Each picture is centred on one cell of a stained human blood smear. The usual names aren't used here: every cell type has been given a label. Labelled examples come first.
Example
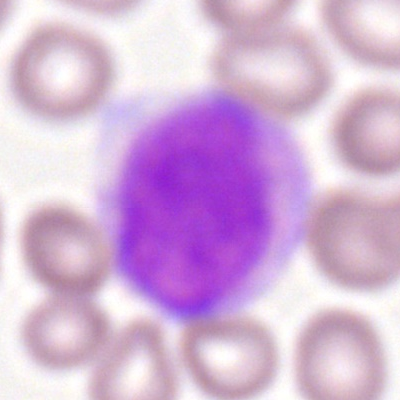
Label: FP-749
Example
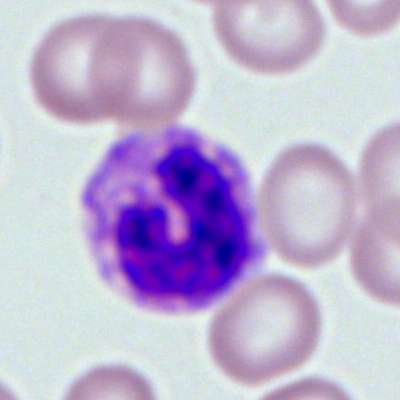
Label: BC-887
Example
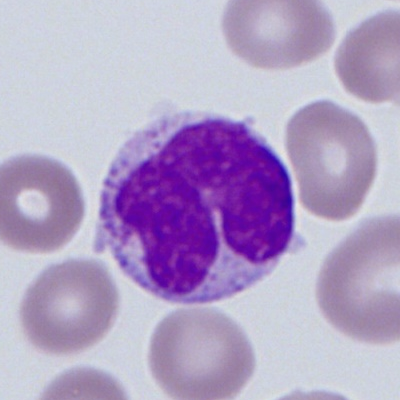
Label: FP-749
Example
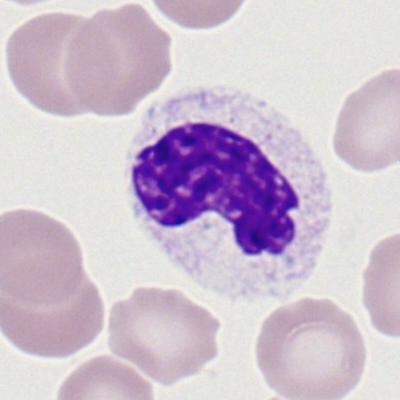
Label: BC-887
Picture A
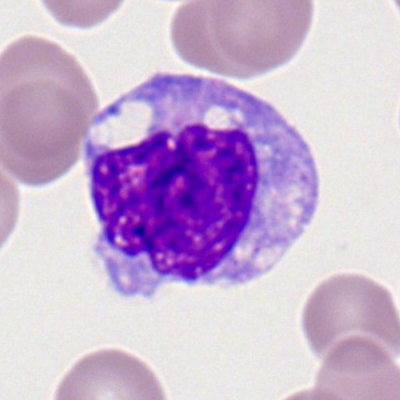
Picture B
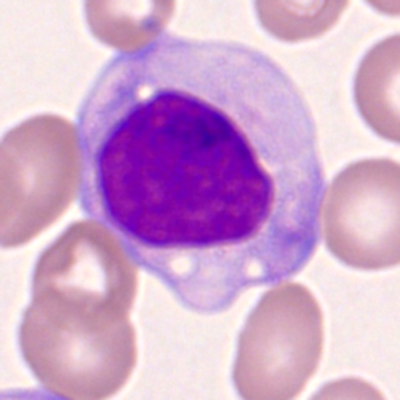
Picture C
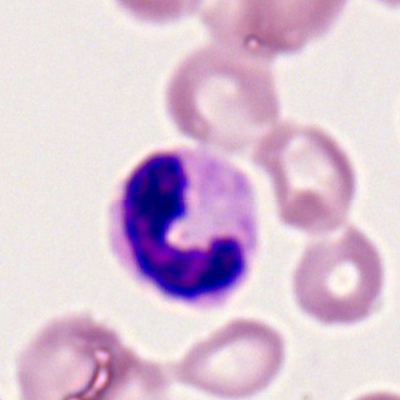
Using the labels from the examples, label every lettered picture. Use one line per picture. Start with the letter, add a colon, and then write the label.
A: FP-749
B: FP-749
C: BC-887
